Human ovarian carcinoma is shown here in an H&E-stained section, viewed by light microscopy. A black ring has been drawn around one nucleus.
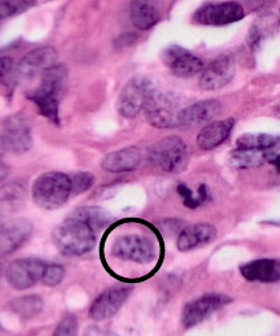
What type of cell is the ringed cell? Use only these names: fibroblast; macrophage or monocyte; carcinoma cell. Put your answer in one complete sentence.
In this section, the ringed cell is a macrophage or monocyte.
